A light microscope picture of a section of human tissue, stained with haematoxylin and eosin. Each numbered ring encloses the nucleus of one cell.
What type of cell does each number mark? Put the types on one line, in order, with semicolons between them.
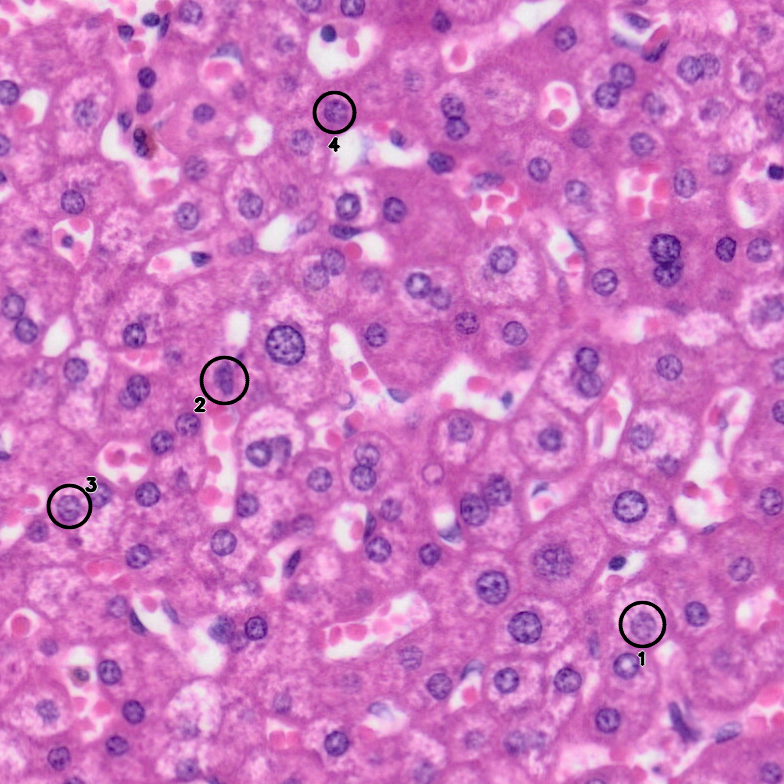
hepatocyte; fibroblast or stellate cell; hepatocyte; hepatocyte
